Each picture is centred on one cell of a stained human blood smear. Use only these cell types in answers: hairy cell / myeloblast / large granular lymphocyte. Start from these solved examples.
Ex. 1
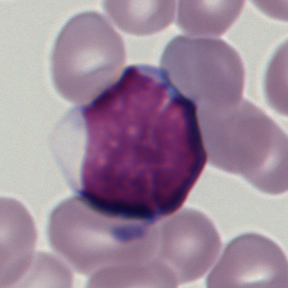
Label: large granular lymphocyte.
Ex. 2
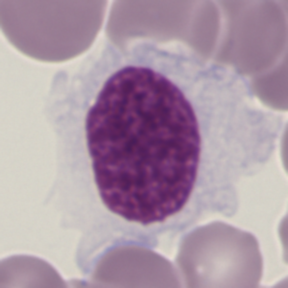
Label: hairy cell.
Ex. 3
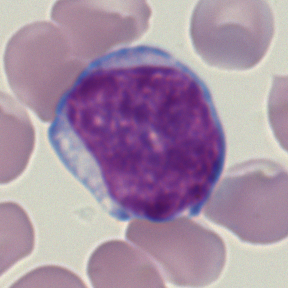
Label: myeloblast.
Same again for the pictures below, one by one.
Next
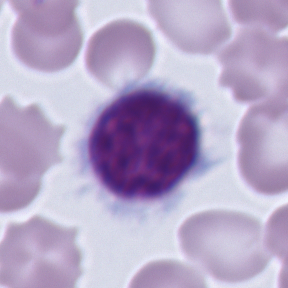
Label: hairy cell.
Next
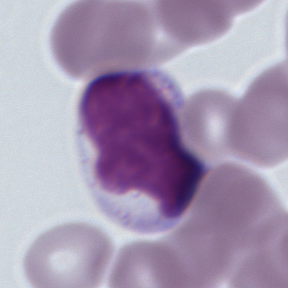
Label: large granular lymphocyte.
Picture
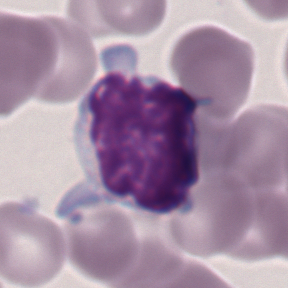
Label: large granular lymphocyte.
